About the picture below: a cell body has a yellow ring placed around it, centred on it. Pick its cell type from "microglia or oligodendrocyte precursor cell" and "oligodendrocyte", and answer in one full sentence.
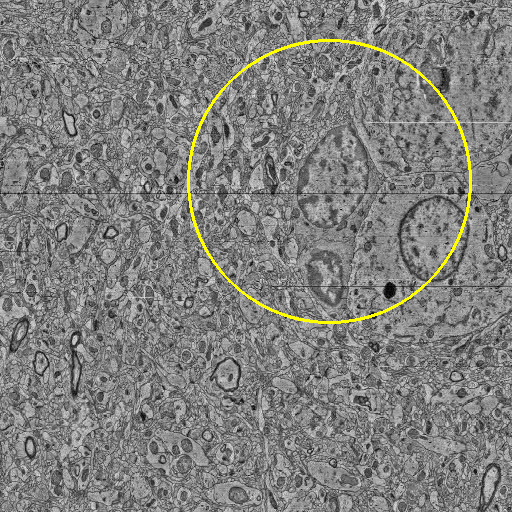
In the picture, an oligodendrocyte is the cell sitting at the centre of the yellow ring.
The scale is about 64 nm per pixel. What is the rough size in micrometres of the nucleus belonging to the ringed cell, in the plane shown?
The nucleus comes to approximately 7 by 4 micrometres and is clearly longer than it is wide in this plane.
